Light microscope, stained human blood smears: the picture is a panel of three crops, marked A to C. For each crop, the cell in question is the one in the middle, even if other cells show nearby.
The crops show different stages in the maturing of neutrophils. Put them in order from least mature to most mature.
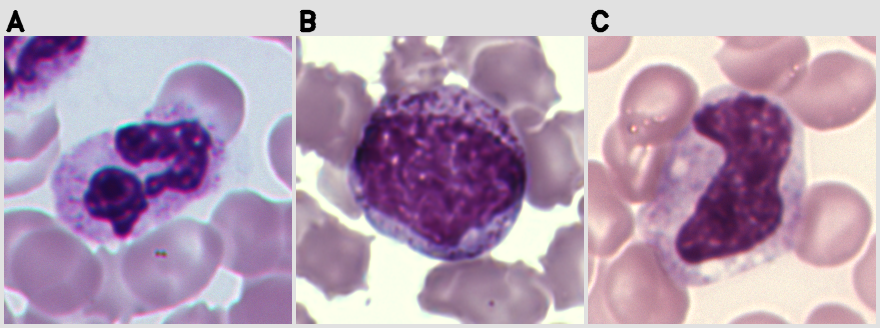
B, C, A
